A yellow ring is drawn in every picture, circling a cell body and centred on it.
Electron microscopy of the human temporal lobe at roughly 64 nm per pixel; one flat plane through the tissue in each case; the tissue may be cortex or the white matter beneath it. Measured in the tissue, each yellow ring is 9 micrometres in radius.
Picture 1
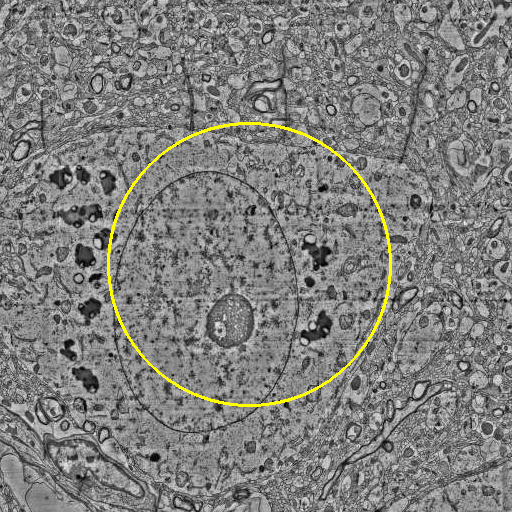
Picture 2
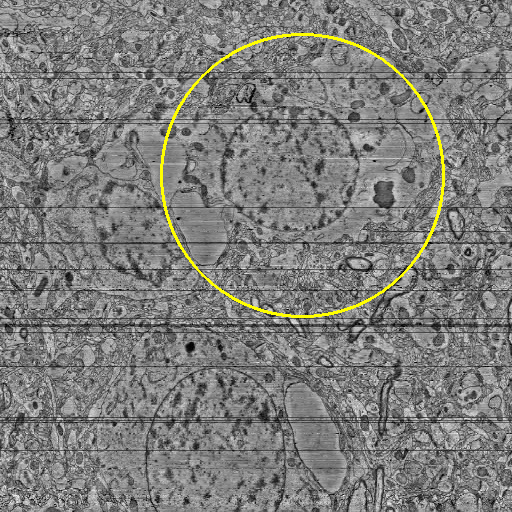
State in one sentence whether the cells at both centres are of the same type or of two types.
The cells at the two ring centres, one per picture, are of two types.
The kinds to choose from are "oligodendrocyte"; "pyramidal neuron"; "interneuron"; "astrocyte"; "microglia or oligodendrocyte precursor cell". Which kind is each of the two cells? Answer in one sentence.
Of the two, the first cell is a pyramidal neuron and the second cell is an astrocyte.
